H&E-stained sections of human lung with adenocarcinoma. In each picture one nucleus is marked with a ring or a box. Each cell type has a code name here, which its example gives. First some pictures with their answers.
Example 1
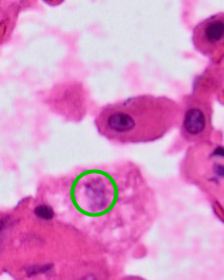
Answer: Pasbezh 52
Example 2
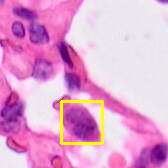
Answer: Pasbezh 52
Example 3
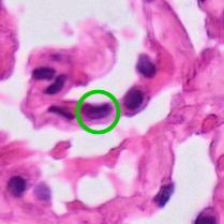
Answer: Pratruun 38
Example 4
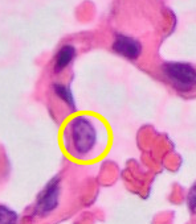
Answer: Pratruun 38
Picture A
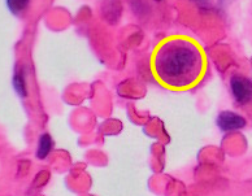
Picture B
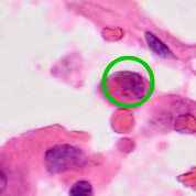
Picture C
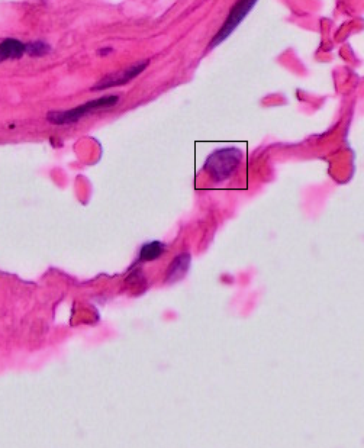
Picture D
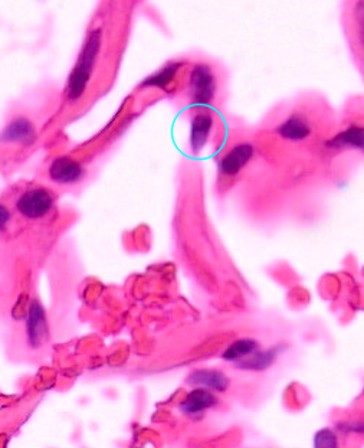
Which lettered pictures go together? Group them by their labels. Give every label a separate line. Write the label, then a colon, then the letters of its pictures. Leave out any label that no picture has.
Pasbezh 52: A, B
Pratruun 38: C, D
